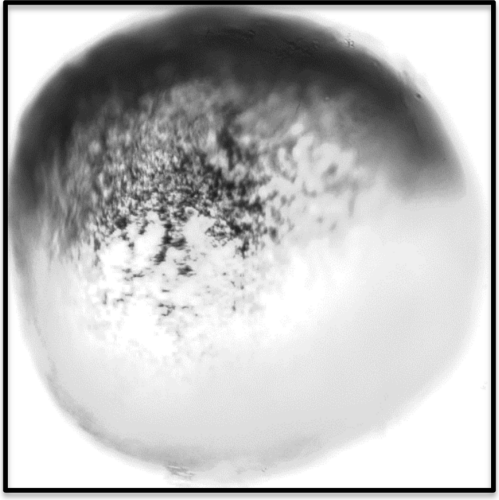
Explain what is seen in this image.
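A single large, roughly spherical oocyte is seen in light microscopy, filling the field. One hemisphere is darkly pigmented, with the pigment thinning into a mottled, patchy pattern toward the centre of the cell. The opposite hemisphere is pale and nearly unpigmented. No individual smaller cells are present; the whole image is one cell.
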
